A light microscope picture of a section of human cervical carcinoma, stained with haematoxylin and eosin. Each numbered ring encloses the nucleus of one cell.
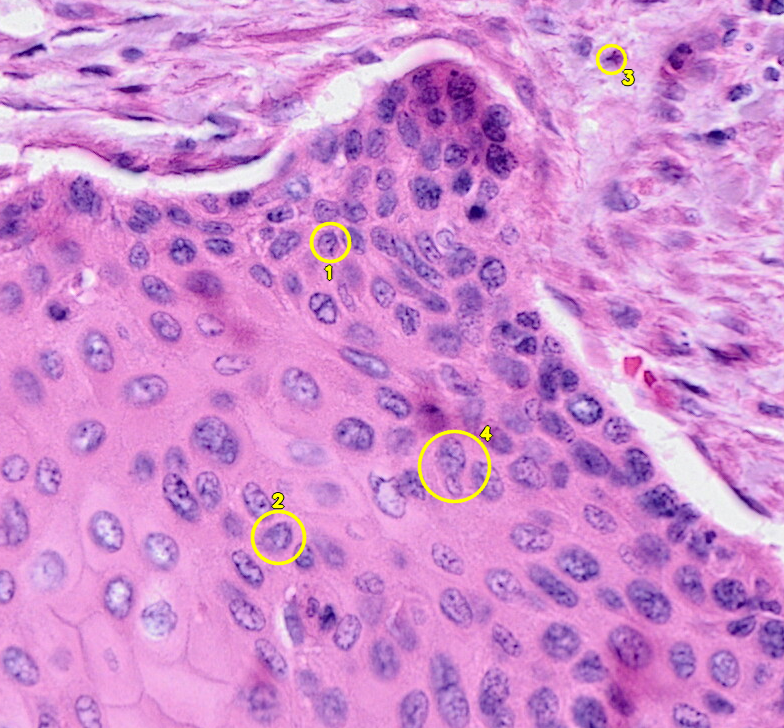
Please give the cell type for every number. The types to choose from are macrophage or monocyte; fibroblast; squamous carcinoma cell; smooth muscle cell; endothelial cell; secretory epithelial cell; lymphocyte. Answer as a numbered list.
1. squamous carcinoma cell
2. squamous carcinoma cell
3. fibroblast
4. squamous carcinoma cell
